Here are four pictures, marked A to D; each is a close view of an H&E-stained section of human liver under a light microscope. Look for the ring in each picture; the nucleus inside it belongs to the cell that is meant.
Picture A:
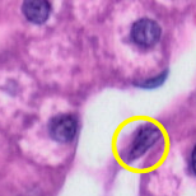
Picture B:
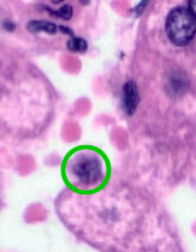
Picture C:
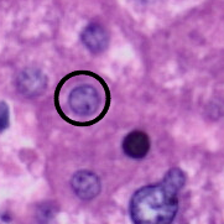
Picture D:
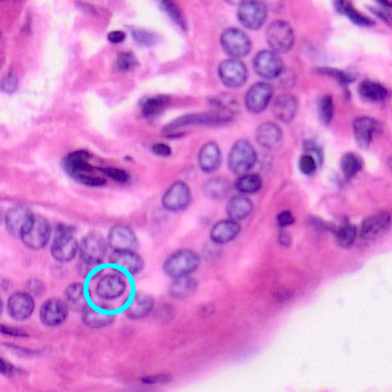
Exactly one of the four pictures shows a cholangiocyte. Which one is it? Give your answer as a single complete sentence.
The picture with the cholangiocyte is D.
